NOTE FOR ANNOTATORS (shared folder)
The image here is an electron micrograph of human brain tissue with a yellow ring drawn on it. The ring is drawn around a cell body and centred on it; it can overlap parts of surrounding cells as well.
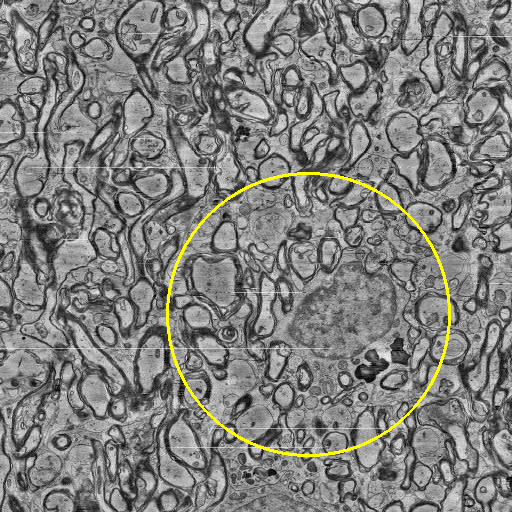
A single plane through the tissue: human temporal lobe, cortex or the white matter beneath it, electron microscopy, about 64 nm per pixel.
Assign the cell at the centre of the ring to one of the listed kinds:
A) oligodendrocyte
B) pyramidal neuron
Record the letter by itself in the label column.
A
